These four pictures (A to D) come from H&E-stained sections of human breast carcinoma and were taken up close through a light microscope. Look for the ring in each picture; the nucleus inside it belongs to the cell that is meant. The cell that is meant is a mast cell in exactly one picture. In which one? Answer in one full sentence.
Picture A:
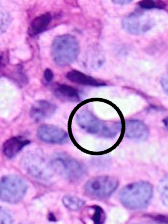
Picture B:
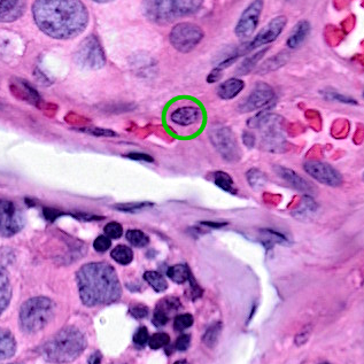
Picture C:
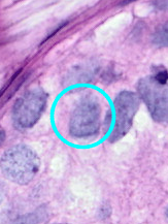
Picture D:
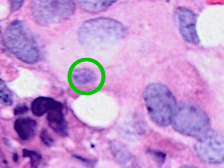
Picture B shows the mast cell.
